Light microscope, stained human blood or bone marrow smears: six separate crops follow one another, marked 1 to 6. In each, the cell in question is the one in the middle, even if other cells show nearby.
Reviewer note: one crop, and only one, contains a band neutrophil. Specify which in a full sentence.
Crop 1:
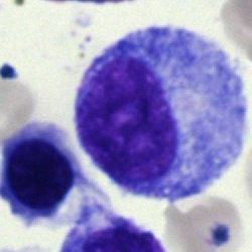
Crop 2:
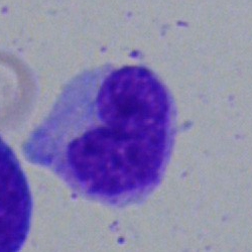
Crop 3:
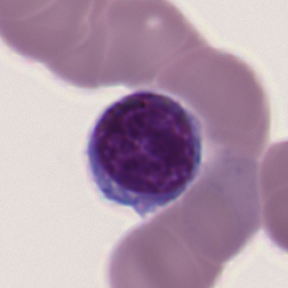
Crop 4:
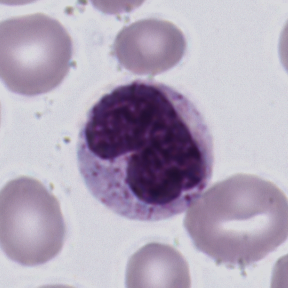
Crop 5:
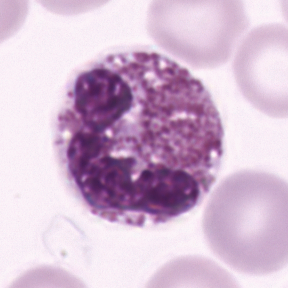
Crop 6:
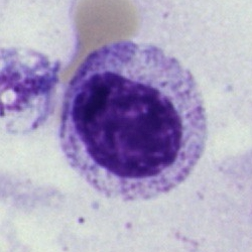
In the set of crops, crop 4 is the one that contains a band neutrophil.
